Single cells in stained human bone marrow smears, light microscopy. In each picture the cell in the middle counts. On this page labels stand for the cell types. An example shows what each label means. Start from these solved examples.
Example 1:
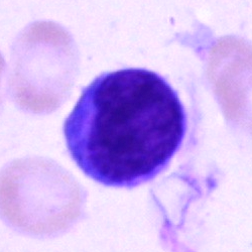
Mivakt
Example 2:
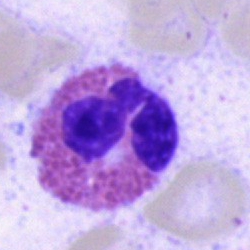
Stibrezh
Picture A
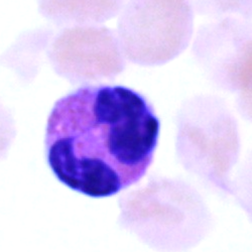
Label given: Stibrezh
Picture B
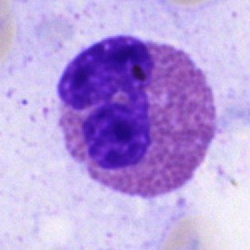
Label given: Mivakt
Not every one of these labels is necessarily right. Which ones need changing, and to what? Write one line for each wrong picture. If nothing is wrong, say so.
B should be Stibrezh, not Mivakt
